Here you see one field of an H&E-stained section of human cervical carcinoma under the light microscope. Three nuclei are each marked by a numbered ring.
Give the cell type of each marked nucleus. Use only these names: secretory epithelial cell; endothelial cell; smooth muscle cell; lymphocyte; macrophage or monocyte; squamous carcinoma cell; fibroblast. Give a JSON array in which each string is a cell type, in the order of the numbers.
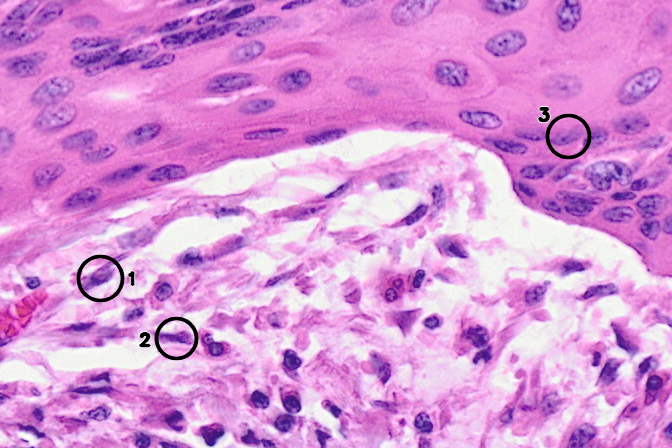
["fibroblast", "fibroblast", "squamous carcinoma cell"]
